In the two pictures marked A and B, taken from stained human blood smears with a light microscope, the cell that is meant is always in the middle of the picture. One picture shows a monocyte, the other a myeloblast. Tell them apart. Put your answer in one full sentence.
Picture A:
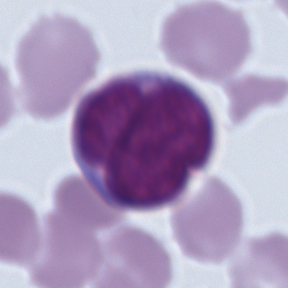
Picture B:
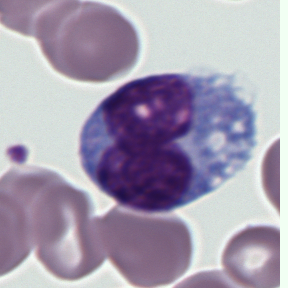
Picture A is of a myeloblast, and picture B is of a monocyte.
